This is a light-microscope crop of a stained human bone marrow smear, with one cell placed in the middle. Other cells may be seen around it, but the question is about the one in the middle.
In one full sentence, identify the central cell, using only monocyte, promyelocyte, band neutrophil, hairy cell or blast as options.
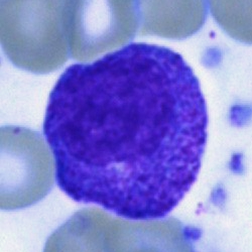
Classified as a promyelocyte is the cell in the middle of this crop.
